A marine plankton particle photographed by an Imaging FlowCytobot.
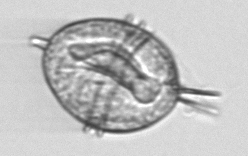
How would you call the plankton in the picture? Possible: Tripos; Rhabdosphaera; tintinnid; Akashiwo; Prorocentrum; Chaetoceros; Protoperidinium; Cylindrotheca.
I would call it Protoperidinium.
